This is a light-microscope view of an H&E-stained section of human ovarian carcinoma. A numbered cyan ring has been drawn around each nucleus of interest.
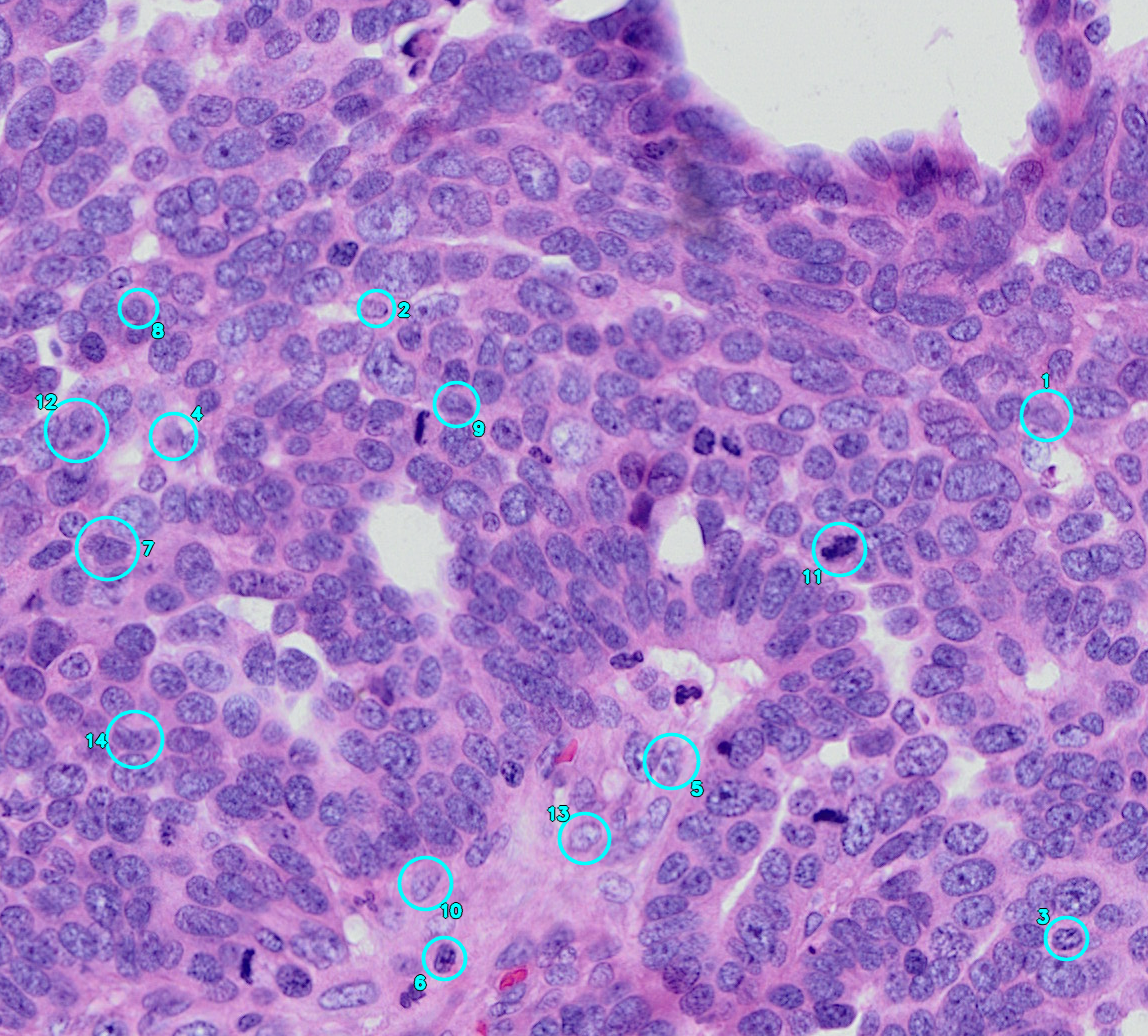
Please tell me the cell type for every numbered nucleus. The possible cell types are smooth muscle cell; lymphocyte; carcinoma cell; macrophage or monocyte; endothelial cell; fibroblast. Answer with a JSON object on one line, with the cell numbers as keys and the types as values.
{"1": "carcinoma cell", "2": "macrophage or monocyte", "3": "macrophage or monocyte", "4": "carcinoma cell", "5": "fibroblast", "6": "lymphocyte", "7": "carcinoma cell", "8": "carcinoma cell", "9": "carcinoma cell", "10": "fibroblast", "11": "carcinoma cell", "12": "carcinoma cell", "13": "fibroblast", "14": "carcinoma cell"}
